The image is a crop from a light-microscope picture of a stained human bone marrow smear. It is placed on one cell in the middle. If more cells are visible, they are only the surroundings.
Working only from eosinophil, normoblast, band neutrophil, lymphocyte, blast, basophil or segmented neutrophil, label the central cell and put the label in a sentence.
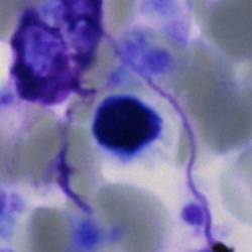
Centrally within this crop lies a lymphocyte.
